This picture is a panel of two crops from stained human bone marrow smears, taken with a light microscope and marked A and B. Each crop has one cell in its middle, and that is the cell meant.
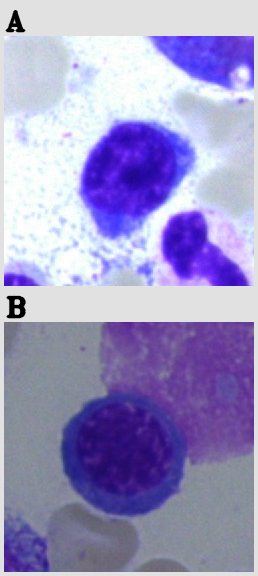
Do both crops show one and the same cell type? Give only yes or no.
no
